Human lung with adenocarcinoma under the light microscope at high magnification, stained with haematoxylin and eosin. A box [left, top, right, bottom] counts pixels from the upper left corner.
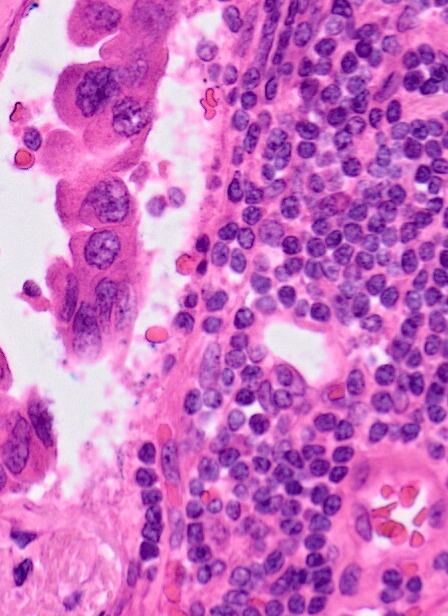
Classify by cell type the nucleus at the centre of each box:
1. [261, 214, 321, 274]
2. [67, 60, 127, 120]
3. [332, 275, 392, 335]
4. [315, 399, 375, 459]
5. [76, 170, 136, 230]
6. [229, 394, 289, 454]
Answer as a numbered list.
1. lymphocyte
2. carcinoma cell
3. lymphocyte
4. lymphocyte
5. carcinoma cell
6. lymphocyte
